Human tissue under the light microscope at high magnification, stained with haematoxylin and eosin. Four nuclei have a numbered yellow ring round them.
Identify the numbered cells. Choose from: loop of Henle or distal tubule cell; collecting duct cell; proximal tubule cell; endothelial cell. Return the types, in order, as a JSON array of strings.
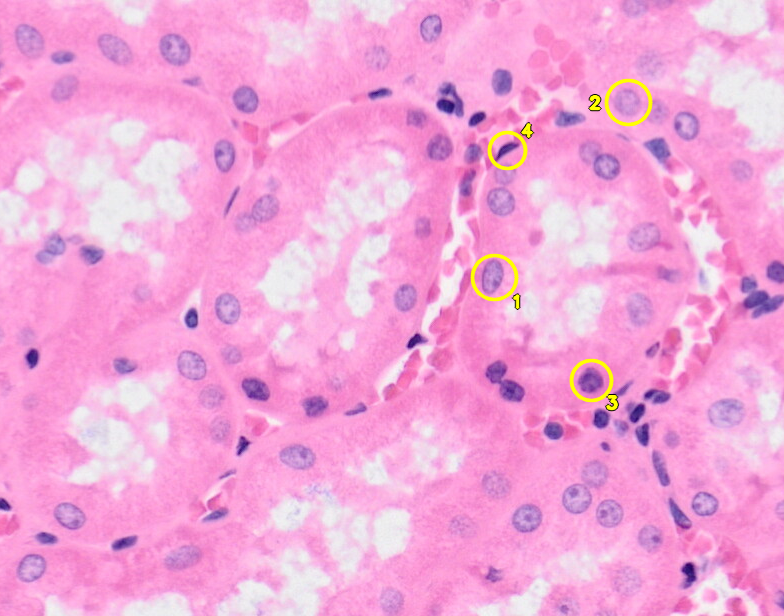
["proximal tubule cell", "proximal tubule cell", "proximal tubule cell", "endothelial cell"]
